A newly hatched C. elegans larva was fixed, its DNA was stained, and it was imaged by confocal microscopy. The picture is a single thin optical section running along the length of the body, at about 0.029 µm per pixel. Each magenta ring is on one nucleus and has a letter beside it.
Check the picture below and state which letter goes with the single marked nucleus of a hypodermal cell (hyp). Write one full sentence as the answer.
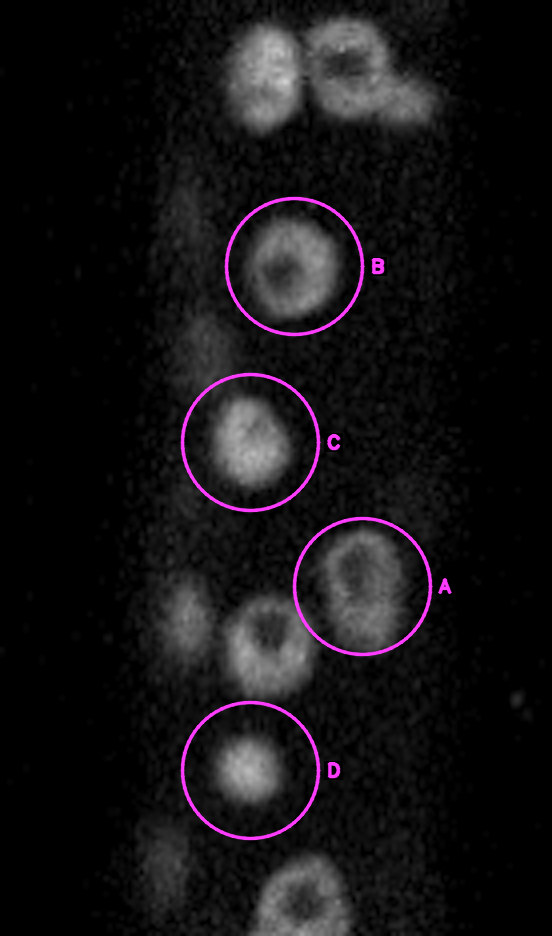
The nucleus of a hypodermal cell (hyp) is A.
